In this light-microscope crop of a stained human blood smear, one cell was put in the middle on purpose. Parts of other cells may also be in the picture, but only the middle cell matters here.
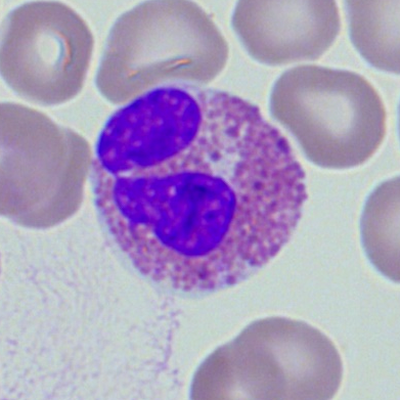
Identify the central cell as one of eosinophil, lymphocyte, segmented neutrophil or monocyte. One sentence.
Present in the middle of the crop is an eosinophil.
